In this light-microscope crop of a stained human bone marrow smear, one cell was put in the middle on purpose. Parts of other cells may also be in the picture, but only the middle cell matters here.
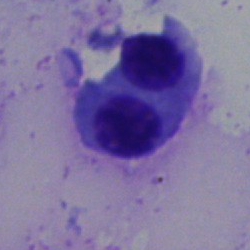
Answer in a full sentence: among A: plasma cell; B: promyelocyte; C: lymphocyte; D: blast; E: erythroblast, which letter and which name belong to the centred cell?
The cell centred in the crop is an erythroblast, and the correct option is thus E.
